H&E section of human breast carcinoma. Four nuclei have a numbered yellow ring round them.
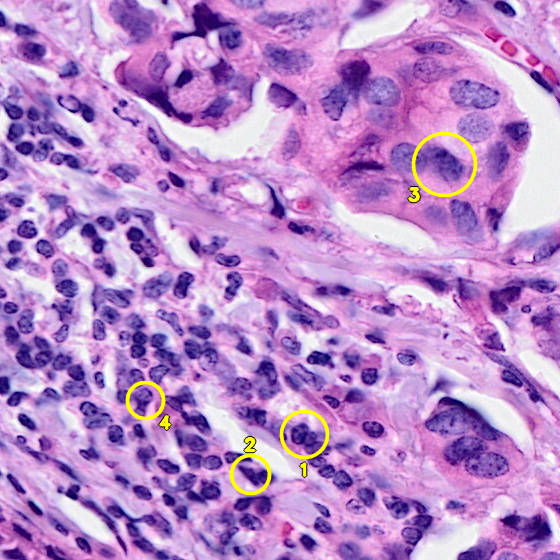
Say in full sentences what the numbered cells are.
Cell 1 is a lymphocyte, cell 2 is a lymphocyte, cell 3 is a carcinoma cell and cell 4 is a lymphocyte.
